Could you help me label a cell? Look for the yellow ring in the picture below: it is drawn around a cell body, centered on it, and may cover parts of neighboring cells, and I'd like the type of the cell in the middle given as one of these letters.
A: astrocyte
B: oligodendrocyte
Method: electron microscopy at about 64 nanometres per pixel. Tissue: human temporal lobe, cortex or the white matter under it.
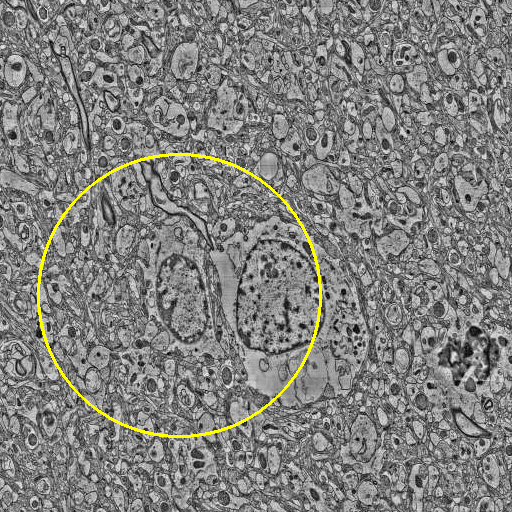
A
